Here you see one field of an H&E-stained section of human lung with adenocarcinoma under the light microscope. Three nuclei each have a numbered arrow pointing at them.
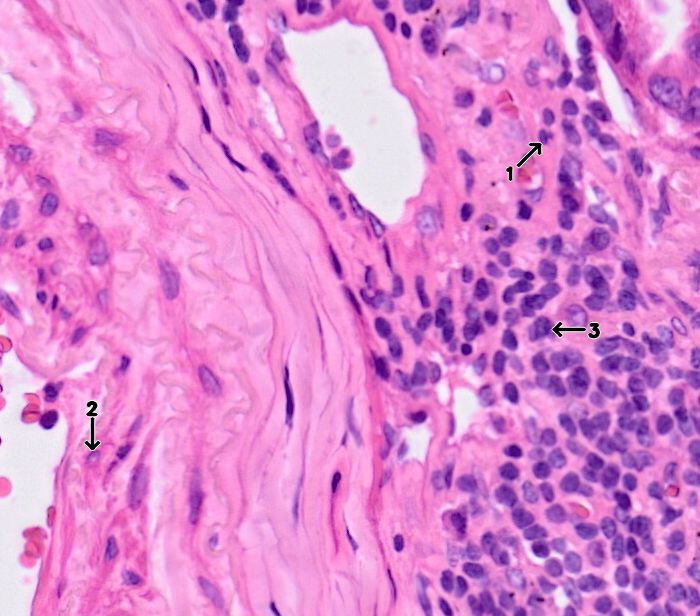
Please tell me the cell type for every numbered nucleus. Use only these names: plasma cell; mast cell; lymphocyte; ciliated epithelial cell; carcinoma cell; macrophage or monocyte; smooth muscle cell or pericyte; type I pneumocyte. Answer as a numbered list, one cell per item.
1. lymphocyte
2. smooth muscle cell or pericyte
3. lymphocyte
